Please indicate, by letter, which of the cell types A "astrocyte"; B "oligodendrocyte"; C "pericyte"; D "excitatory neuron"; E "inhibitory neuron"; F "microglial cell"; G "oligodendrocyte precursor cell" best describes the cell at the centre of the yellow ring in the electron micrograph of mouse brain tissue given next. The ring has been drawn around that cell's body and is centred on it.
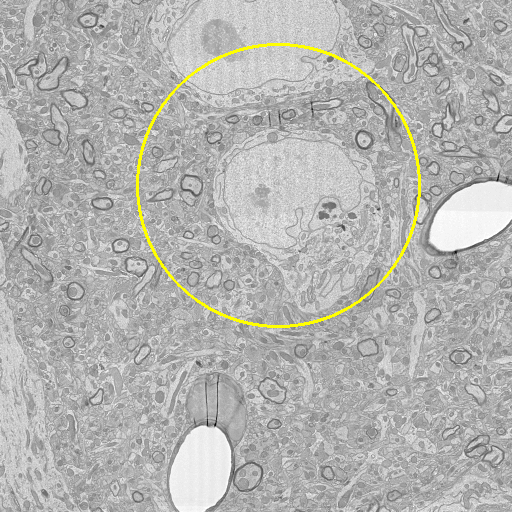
E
